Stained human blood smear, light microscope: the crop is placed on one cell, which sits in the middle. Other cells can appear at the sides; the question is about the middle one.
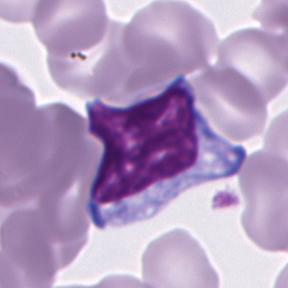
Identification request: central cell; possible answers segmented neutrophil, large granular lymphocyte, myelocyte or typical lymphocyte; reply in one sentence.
At the crop's centre, the cell is a typical lymphocyte.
